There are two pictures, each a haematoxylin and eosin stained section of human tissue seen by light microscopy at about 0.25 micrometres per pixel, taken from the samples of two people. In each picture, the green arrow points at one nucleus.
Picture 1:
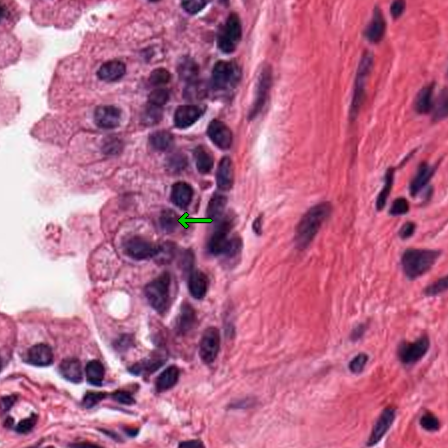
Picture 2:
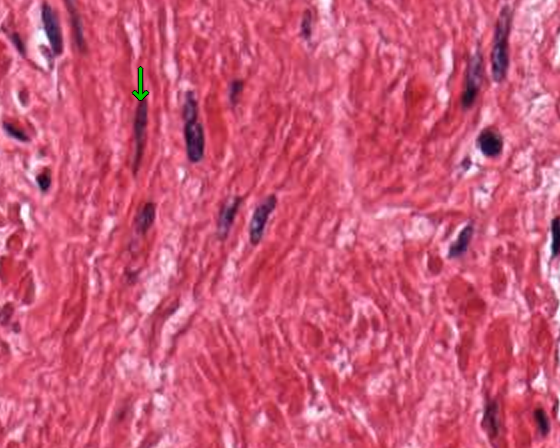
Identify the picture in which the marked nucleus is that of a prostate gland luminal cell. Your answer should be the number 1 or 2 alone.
1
